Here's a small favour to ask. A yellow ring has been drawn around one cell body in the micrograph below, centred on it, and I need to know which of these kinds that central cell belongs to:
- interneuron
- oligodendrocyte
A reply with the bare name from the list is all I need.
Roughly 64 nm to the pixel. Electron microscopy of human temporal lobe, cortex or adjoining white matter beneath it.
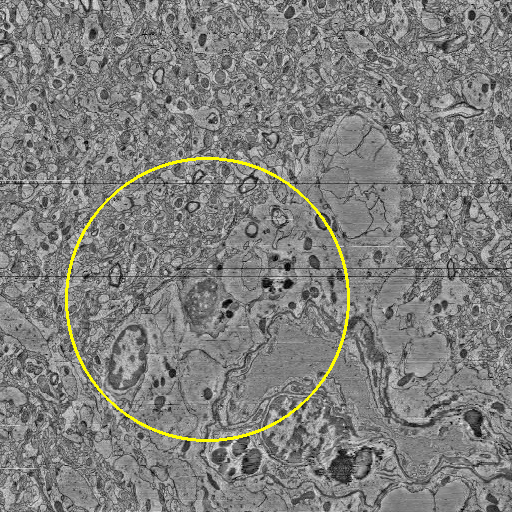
oligodendrocyte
